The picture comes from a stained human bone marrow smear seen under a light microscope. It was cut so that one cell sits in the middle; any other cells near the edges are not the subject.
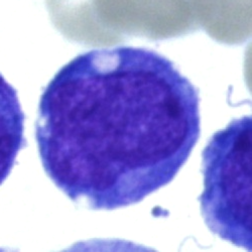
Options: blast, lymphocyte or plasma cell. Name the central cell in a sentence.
Of the cells in this crop, the central one is a blast.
